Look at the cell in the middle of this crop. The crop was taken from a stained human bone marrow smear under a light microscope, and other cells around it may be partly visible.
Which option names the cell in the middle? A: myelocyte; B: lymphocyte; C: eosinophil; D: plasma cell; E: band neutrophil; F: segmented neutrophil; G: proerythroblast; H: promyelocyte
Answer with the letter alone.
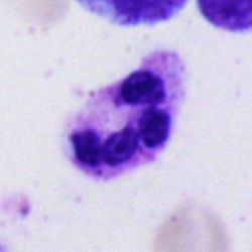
F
